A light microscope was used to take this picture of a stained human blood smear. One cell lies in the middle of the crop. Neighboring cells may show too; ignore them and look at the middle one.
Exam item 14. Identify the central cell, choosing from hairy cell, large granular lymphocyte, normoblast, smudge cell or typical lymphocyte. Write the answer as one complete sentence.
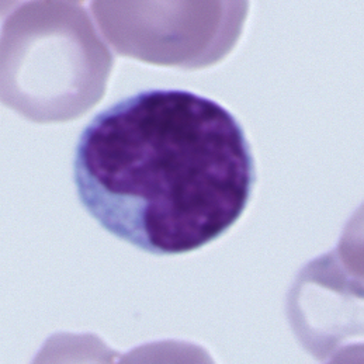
The central cell in this smear crop is a typical lymphocyte.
